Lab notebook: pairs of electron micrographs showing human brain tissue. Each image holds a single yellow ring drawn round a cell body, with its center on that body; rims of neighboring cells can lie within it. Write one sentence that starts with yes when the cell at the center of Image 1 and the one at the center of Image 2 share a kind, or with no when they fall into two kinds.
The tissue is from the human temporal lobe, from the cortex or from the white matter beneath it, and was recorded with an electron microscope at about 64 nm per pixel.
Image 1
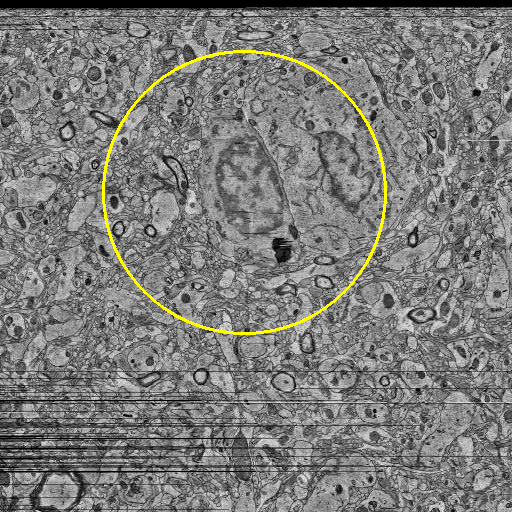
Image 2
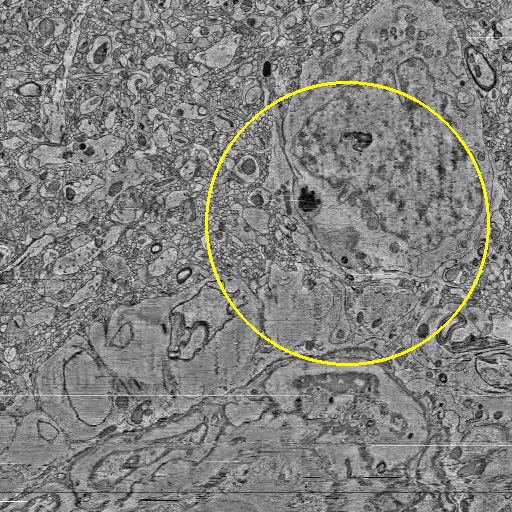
Yes, the centered cell in Image 1 and the centered cell in Image 2 are of one kind.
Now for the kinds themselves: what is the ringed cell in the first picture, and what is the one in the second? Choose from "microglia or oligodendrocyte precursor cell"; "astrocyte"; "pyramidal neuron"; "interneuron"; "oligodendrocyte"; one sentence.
Both rings mark an oligodendrocyte, one in each picture.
